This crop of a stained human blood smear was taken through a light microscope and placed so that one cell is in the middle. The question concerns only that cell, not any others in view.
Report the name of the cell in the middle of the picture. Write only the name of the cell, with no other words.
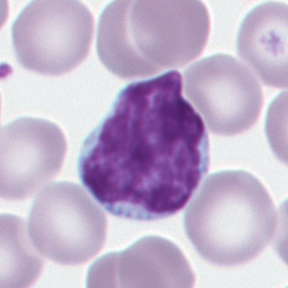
lymphocyte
